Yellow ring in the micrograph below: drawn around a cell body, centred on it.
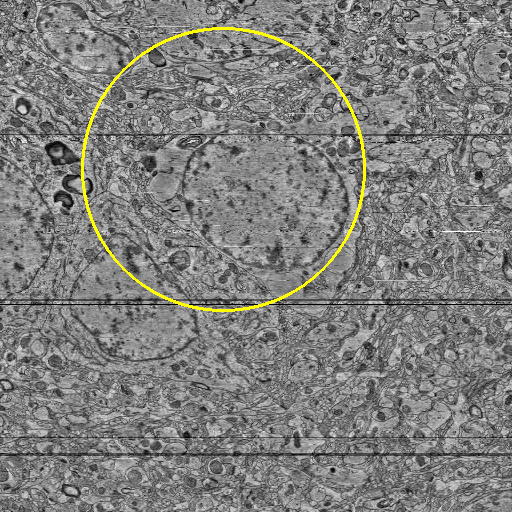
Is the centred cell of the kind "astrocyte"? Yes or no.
yes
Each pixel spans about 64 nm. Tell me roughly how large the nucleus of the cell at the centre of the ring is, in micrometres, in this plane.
About 11 by 9 micrometers, in this plane.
